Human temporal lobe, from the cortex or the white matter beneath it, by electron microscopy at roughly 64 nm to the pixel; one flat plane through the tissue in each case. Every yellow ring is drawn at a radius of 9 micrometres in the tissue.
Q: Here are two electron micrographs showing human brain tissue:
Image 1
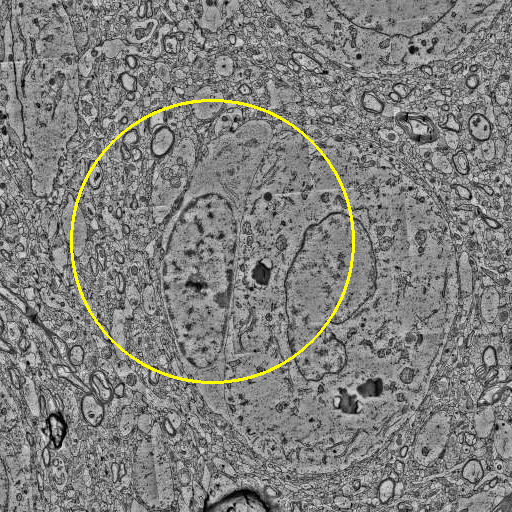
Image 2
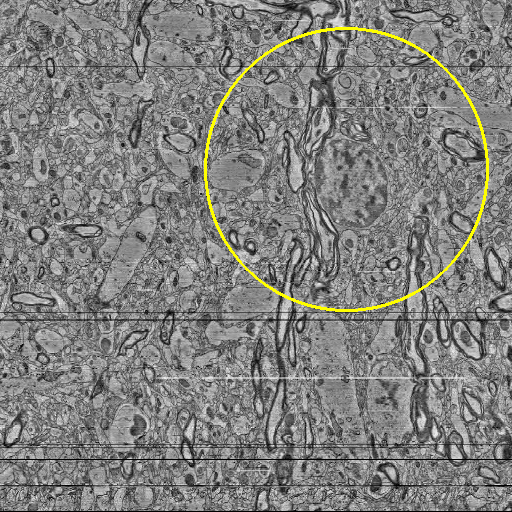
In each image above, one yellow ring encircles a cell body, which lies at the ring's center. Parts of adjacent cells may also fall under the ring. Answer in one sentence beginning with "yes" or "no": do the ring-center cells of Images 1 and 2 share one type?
No, in Images 1 and 2, the ring-center cells are of two types.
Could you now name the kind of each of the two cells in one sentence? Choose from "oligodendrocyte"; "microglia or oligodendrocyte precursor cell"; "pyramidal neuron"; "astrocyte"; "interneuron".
The first ring encloses a microglial cell or oligodendrocyte precursor cell; the second ring encloses an oligodendrocyte.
